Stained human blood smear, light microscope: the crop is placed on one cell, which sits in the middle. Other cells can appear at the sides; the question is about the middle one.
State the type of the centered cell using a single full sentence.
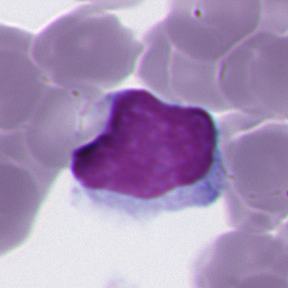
The cell found in the middle of this crop is a lymphocyte.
